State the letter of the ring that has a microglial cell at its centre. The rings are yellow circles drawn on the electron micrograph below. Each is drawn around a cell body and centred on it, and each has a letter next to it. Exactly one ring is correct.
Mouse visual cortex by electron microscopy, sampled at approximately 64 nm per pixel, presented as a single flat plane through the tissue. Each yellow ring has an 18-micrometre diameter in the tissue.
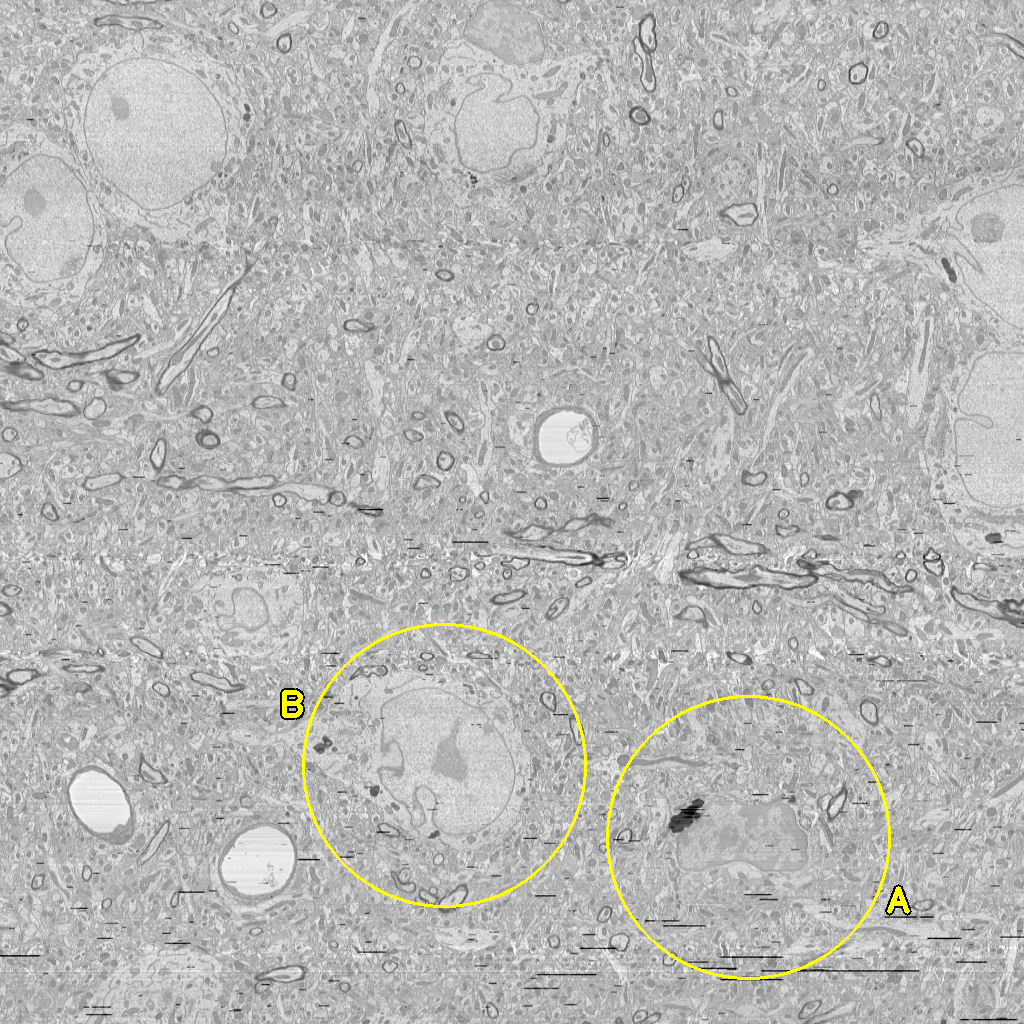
A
